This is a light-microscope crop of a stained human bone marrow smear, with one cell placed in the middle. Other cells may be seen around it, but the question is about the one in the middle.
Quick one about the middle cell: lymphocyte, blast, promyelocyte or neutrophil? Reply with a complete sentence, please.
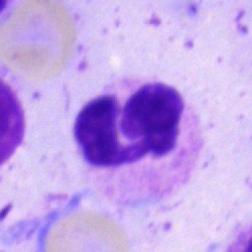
The cell shown in the center of this light-microscope crop is a neutrophil.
